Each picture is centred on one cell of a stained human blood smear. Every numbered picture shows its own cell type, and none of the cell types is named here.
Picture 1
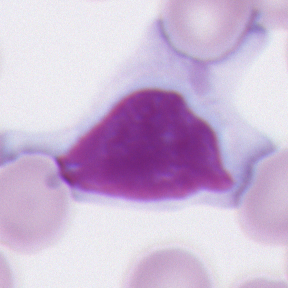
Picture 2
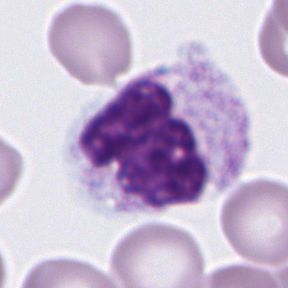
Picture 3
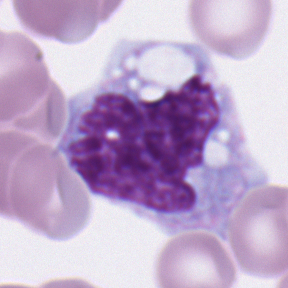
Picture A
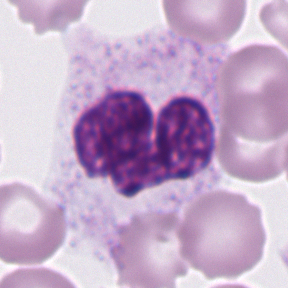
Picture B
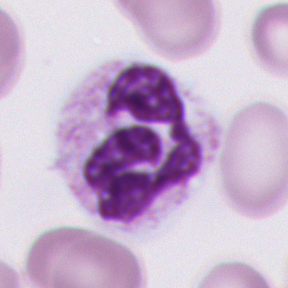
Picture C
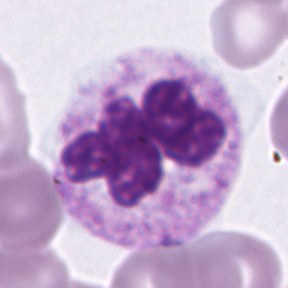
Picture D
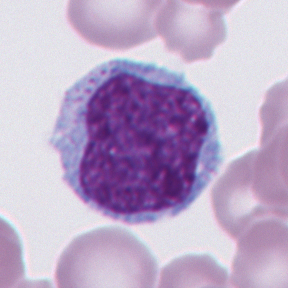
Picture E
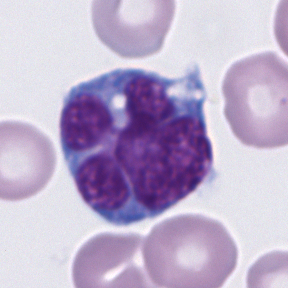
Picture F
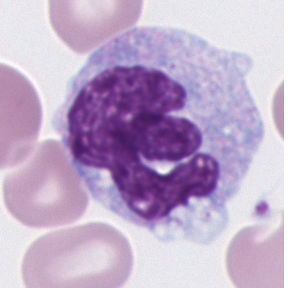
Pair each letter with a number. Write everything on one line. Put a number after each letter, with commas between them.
A 2, B 2, C 2, D 3, E 3, F 3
